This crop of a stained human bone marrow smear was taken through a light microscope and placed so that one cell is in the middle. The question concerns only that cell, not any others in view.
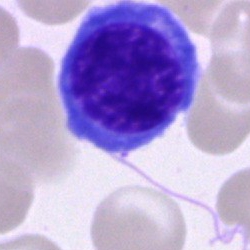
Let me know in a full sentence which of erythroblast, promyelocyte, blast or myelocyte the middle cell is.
As for the central cell, it is an erythroblast.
